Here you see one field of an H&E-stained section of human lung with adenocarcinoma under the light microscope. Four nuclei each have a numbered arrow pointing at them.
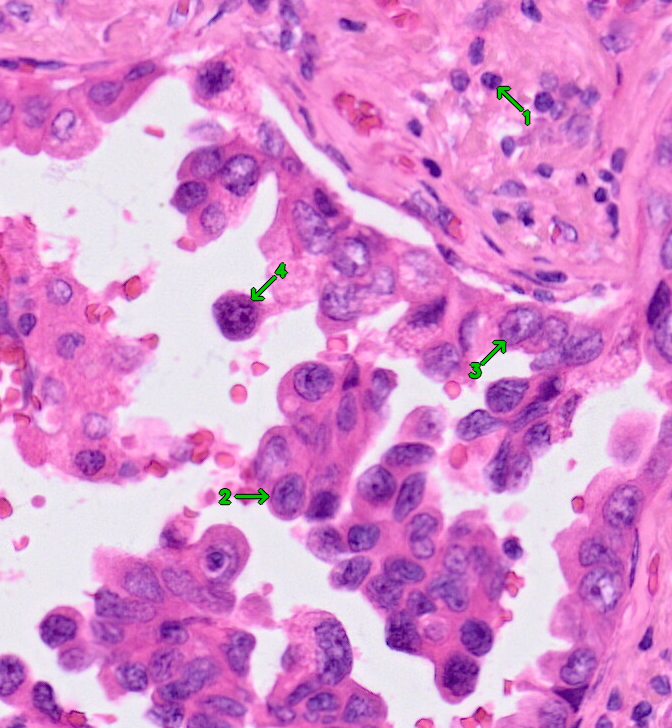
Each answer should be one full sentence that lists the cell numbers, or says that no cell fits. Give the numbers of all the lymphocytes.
Cell 1 is a lymphocyte; no further numbered cell is.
